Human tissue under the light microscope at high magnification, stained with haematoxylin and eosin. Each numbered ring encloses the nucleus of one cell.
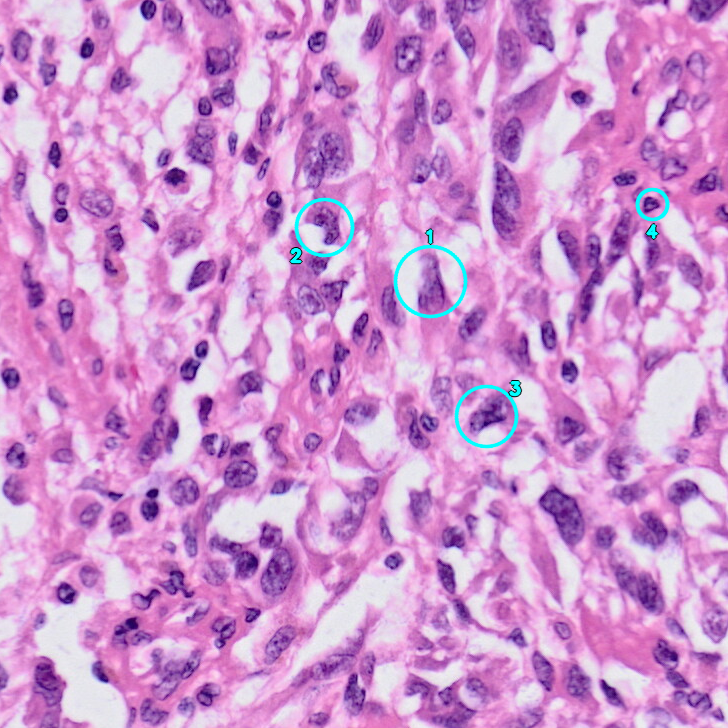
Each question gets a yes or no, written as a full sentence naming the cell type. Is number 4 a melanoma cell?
No, the marked cell 4 is not a melanoma cell, being instead a lymphocyte.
